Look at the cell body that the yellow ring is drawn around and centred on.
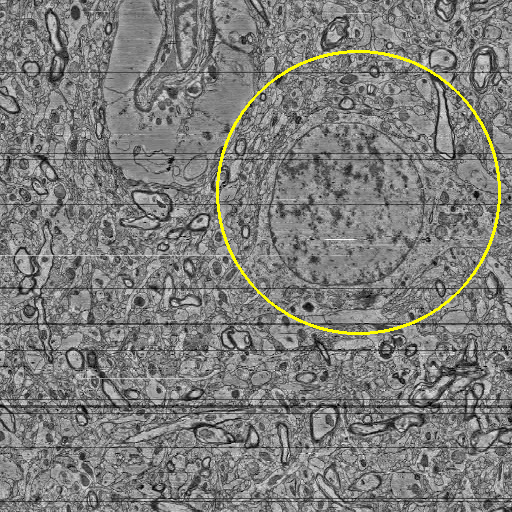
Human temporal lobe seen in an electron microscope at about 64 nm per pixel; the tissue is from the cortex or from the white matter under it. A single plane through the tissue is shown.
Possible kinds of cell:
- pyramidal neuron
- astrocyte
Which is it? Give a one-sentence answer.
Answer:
The centred cell body is that of a pyramidal neuron.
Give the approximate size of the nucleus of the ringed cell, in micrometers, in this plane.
In this plane the nucleus measures roughly 12 by 10 micrometres.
